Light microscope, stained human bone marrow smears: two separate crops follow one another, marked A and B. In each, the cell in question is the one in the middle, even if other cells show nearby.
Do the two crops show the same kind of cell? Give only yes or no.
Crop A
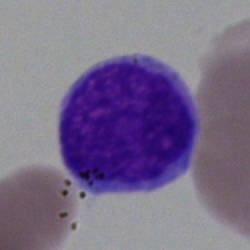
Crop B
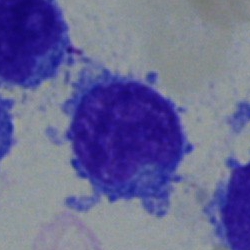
no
